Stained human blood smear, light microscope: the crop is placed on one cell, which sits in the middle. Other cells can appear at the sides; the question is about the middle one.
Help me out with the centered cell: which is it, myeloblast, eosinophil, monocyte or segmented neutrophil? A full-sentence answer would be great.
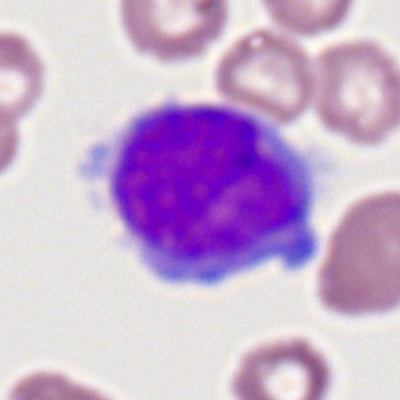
The crop centres on a single cell, and that cell is a monocyte.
